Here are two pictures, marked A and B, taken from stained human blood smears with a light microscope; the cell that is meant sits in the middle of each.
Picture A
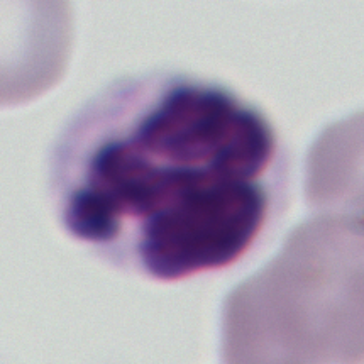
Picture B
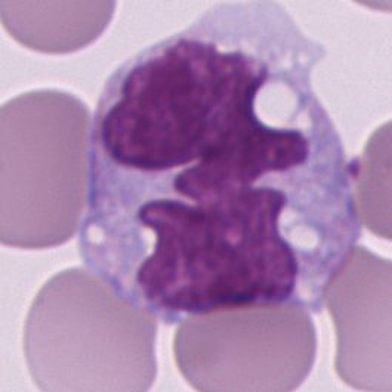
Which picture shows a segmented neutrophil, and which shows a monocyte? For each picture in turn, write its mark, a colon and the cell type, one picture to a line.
A: segmented neutrophil
B: monocyte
